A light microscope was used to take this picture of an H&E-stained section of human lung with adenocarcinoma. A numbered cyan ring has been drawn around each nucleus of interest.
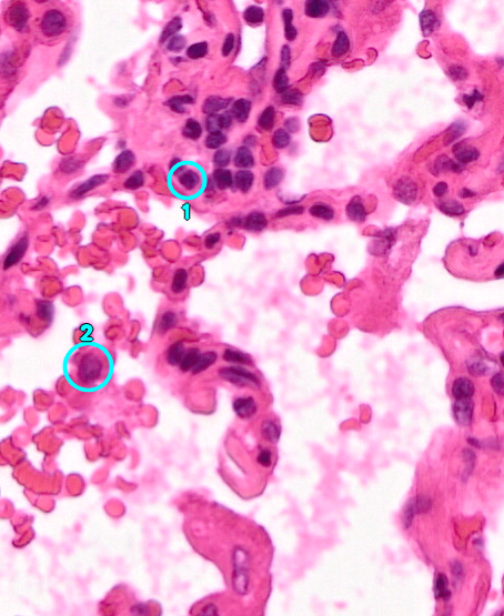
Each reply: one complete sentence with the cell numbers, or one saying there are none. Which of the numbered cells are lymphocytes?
The one cell that is a lymphocyte is cell 1, and no other.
